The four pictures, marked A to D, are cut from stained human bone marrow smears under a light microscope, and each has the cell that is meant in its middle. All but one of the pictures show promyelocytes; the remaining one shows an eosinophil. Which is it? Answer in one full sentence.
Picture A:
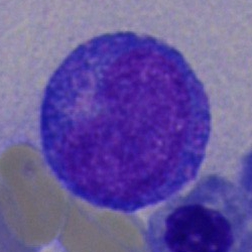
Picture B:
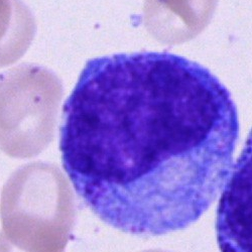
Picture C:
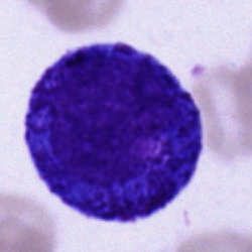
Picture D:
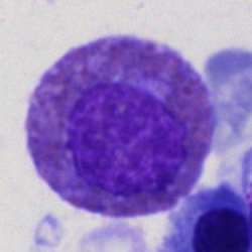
The eosinophil is the one in picture D.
